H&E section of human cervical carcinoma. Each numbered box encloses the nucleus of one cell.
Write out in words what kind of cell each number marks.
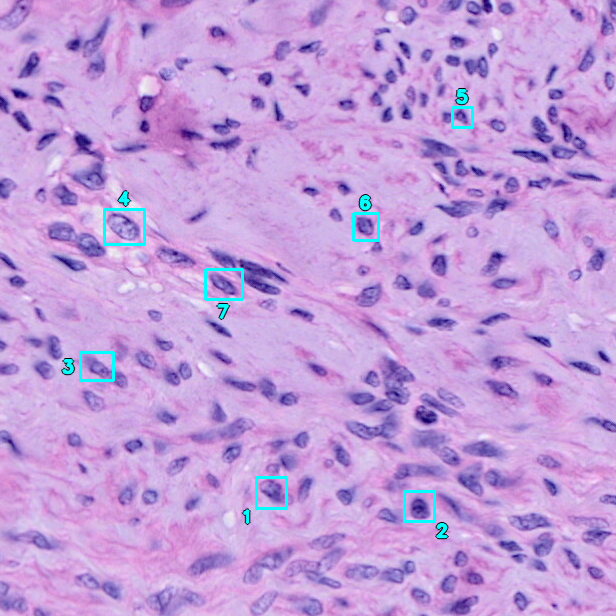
Cell 1 is a smooth muscle cell, cell 2 is a lymphocyte, cell 3 is a smooth muscle cell, cell 4 is an endothelial cell, cell 5 is a smooth muscle cell, cell 6 is a smooth muscle cell and cell 7 is an endothelial cell.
